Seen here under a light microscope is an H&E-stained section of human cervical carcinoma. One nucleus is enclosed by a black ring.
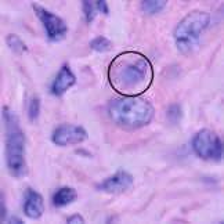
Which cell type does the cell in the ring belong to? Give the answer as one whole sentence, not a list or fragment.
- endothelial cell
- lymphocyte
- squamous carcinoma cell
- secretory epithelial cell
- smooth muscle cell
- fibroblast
As a matter of cell type, the cell in the ring is a smooth muscle cell.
